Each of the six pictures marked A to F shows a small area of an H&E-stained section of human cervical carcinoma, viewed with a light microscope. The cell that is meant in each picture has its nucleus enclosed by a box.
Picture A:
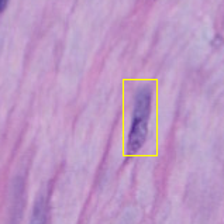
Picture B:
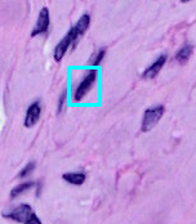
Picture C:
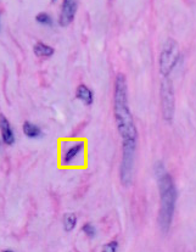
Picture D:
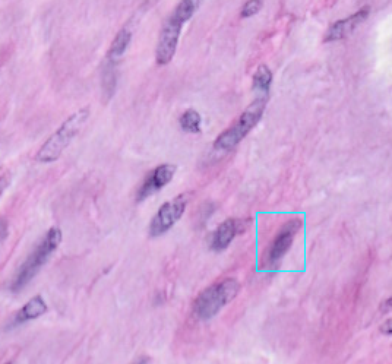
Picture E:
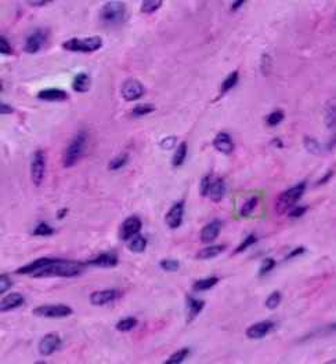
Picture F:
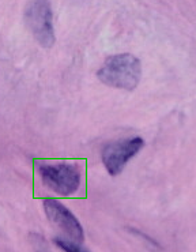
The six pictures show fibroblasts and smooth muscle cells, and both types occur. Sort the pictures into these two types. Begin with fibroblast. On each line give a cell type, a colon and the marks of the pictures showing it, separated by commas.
fibroblast: B, F
smooth muscle cell: A, C, D, E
